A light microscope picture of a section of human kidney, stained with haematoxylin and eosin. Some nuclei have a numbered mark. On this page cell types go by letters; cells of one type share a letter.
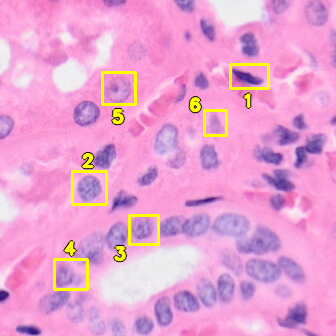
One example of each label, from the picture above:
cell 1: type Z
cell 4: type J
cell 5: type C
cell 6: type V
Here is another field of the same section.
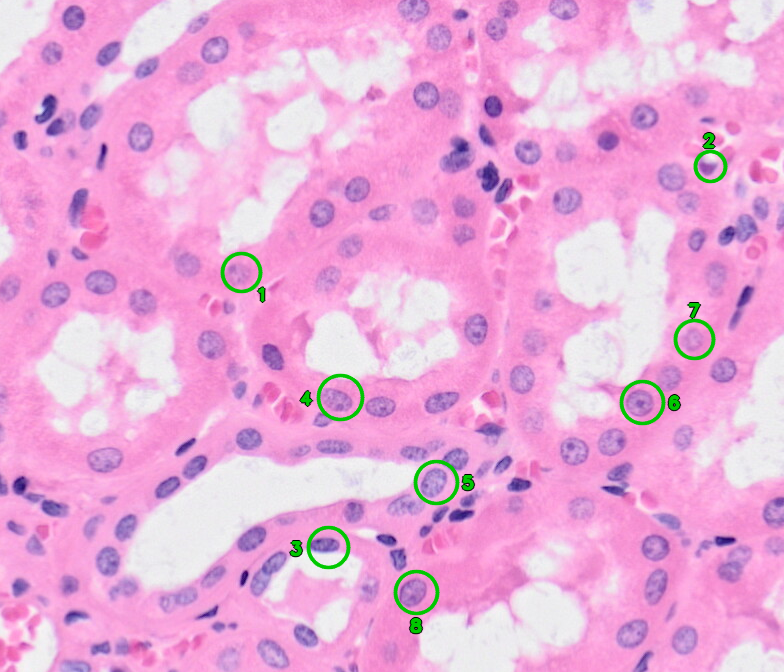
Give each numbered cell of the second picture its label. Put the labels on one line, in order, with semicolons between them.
type C; type Z; type V; type C; type J; type C; type C; type C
